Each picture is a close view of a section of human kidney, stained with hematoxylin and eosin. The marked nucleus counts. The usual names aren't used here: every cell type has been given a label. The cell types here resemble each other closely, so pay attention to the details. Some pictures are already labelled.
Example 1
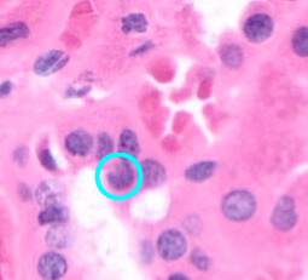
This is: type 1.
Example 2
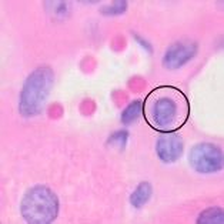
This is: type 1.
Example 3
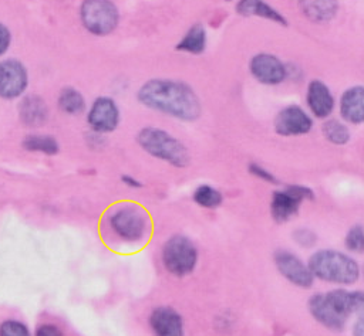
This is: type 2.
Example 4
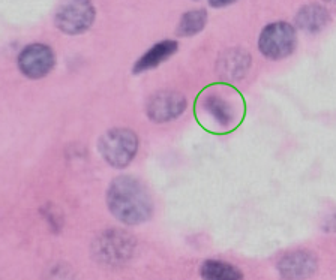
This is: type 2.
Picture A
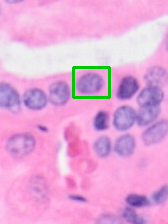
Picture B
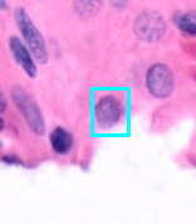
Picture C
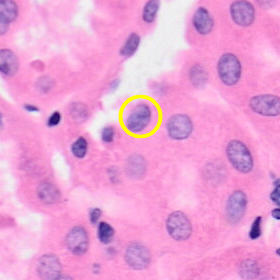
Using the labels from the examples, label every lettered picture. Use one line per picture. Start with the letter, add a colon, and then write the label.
A: type 1.
B: type 2.
C: type 2.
